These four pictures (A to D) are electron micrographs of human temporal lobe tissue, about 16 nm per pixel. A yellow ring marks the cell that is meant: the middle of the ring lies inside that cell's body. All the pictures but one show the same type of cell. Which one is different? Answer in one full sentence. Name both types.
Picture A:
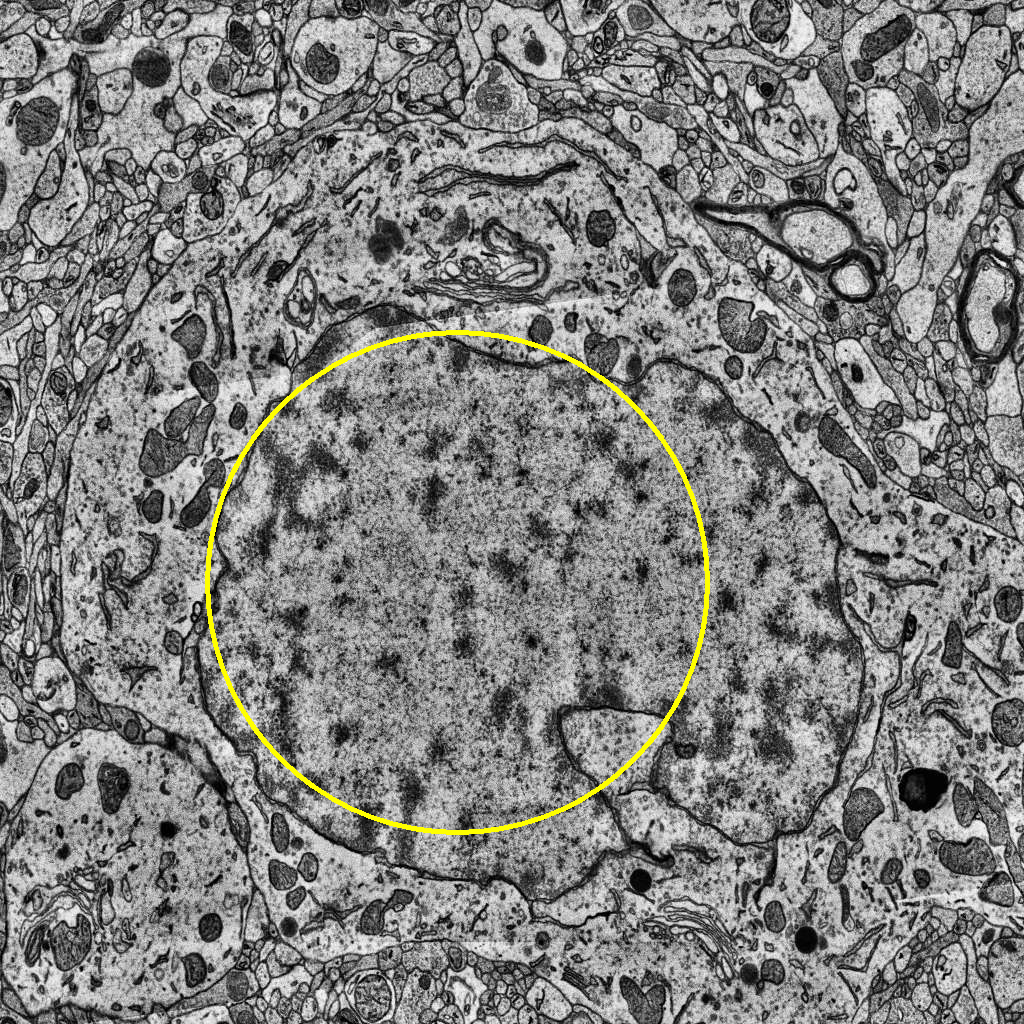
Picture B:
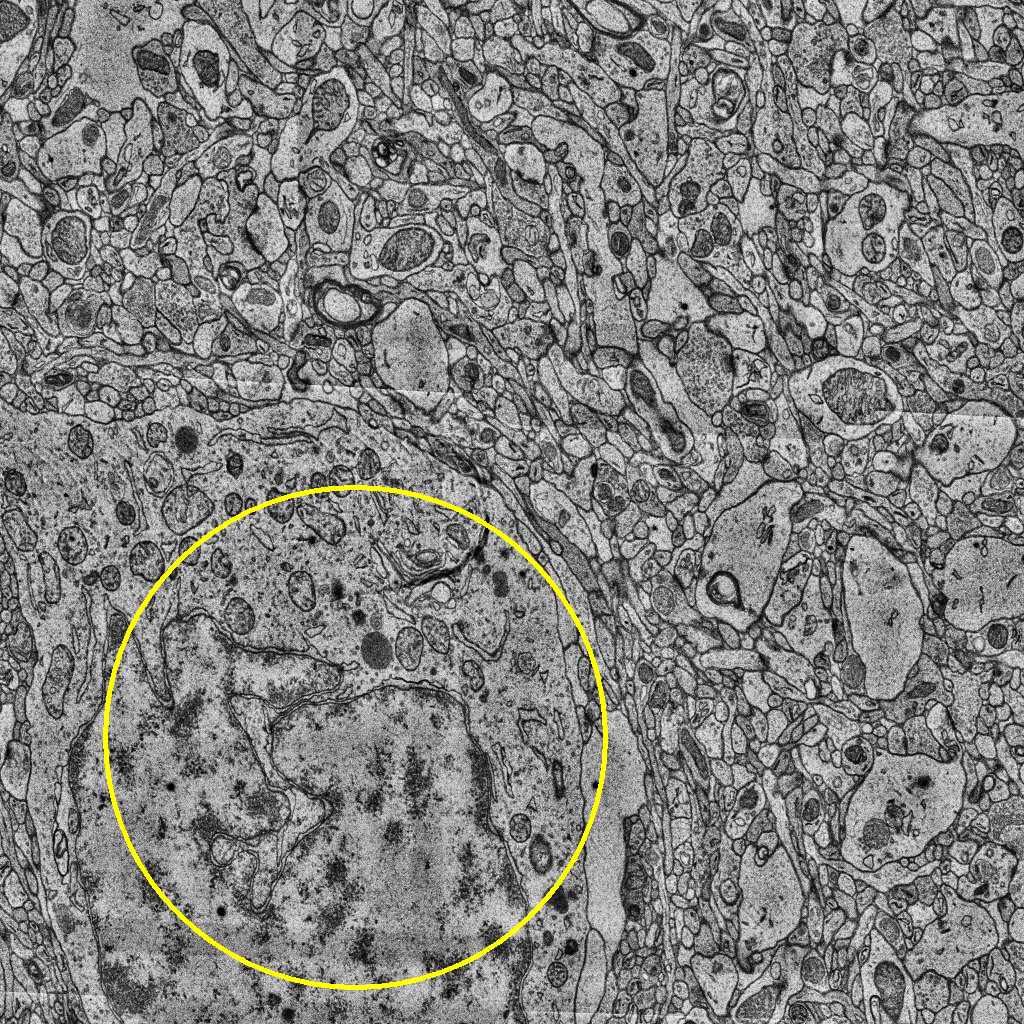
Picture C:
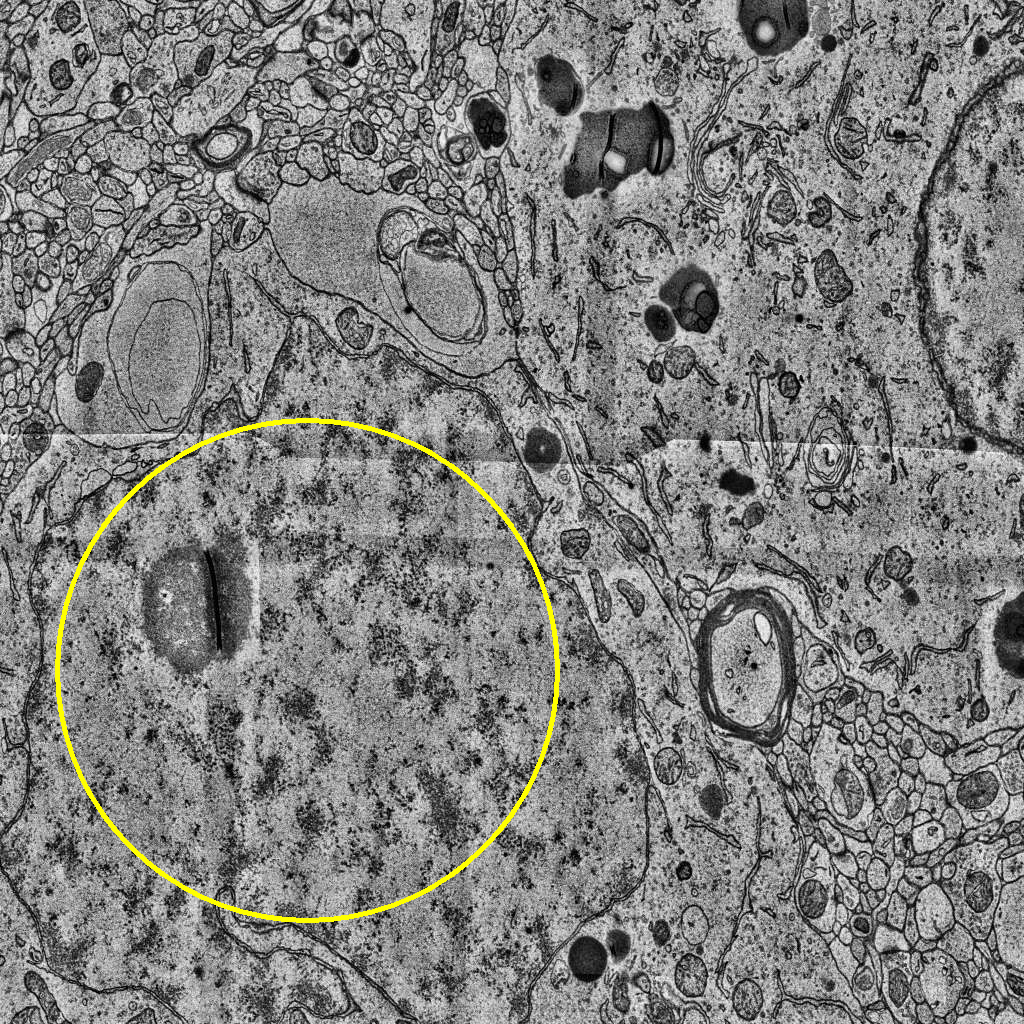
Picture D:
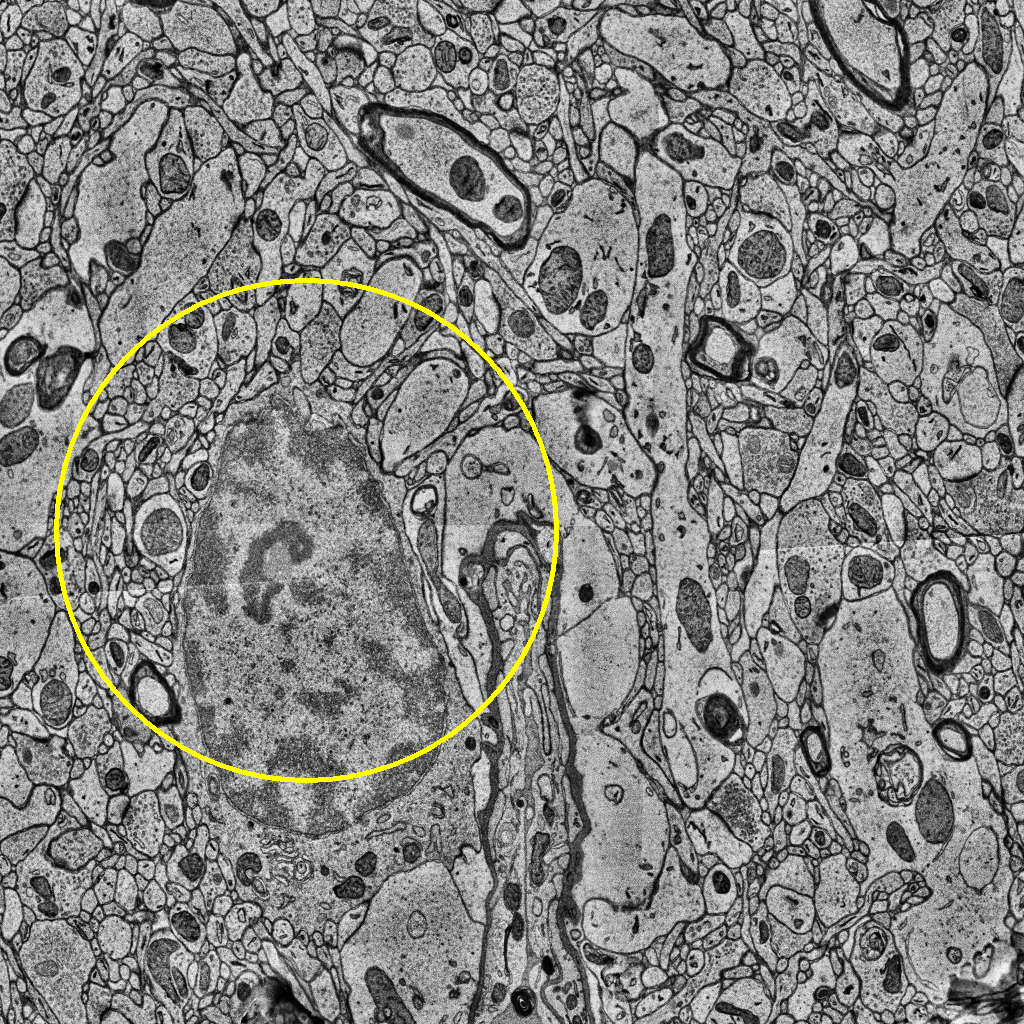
Picture D is the odd one out: it shows an oligodendrocyte, while the others show interneurons.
